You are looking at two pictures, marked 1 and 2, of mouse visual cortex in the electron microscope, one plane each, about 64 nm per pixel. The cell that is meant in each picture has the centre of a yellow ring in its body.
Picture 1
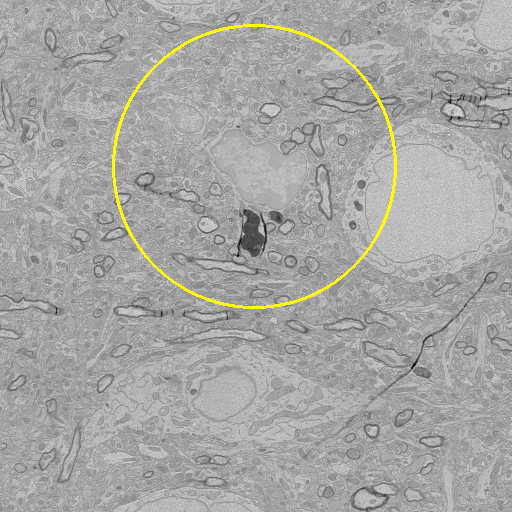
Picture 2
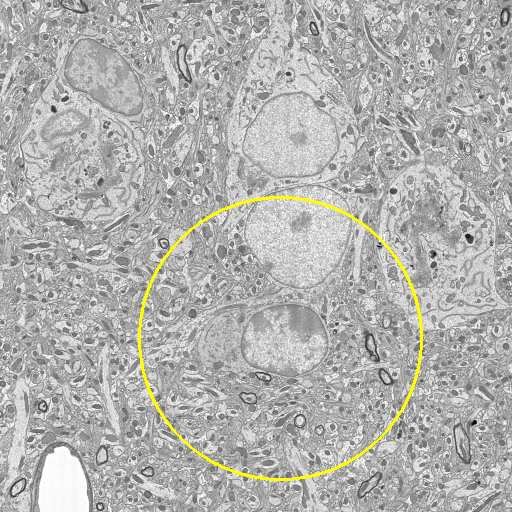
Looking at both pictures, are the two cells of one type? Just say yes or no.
no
